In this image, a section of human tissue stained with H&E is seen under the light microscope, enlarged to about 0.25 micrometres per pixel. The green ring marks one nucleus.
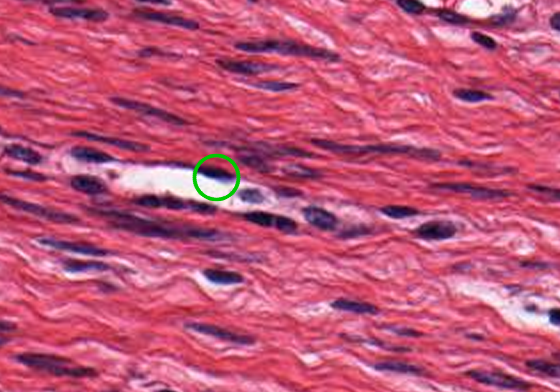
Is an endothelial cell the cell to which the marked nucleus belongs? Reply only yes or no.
yes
